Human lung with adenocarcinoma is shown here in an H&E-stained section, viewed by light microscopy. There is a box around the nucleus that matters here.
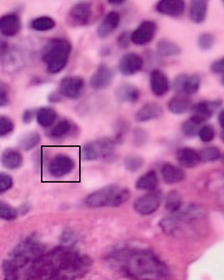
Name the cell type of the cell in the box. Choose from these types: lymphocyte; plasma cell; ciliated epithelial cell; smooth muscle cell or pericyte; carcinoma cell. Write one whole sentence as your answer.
Placed in its cell category, the cell in the box is a lymphocyte.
